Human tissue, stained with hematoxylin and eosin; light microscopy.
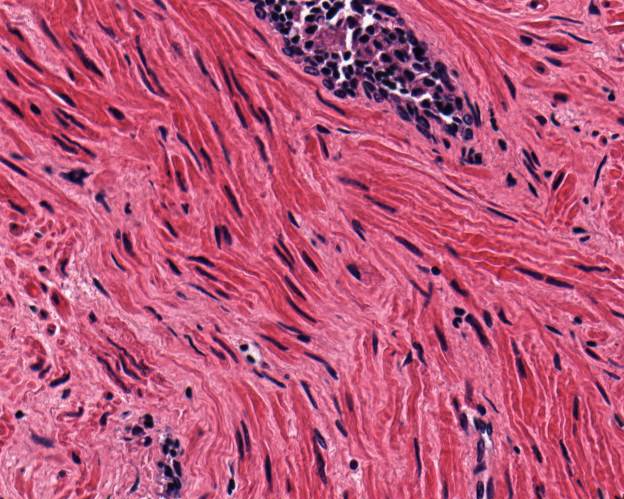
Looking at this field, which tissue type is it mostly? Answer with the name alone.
fibromuscular stroma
